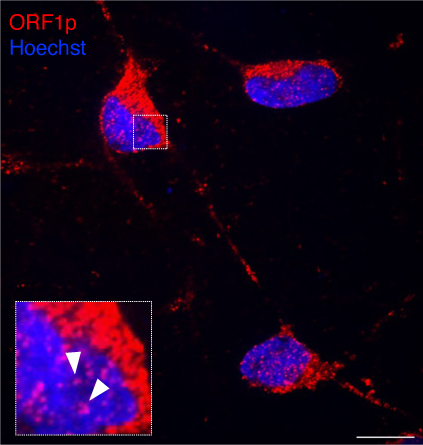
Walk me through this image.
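Three cultured neurons with oval blue nuclei and thin processes running across the field. One cell at upper left has a strongly red cytoplasm gathered to one side of its nucleus, tapering into a process. The enlarged inset shows red puncta inside the blue nucleus, marked by arrowheads. Faint red puncta follow the processes between cells.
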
